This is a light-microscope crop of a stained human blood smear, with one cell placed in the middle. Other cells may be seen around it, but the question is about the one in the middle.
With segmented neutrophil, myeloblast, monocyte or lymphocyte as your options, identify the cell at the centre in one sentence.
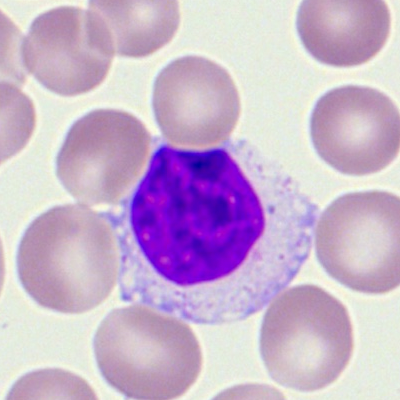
This crop is built around a lymphocyte at its centre.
